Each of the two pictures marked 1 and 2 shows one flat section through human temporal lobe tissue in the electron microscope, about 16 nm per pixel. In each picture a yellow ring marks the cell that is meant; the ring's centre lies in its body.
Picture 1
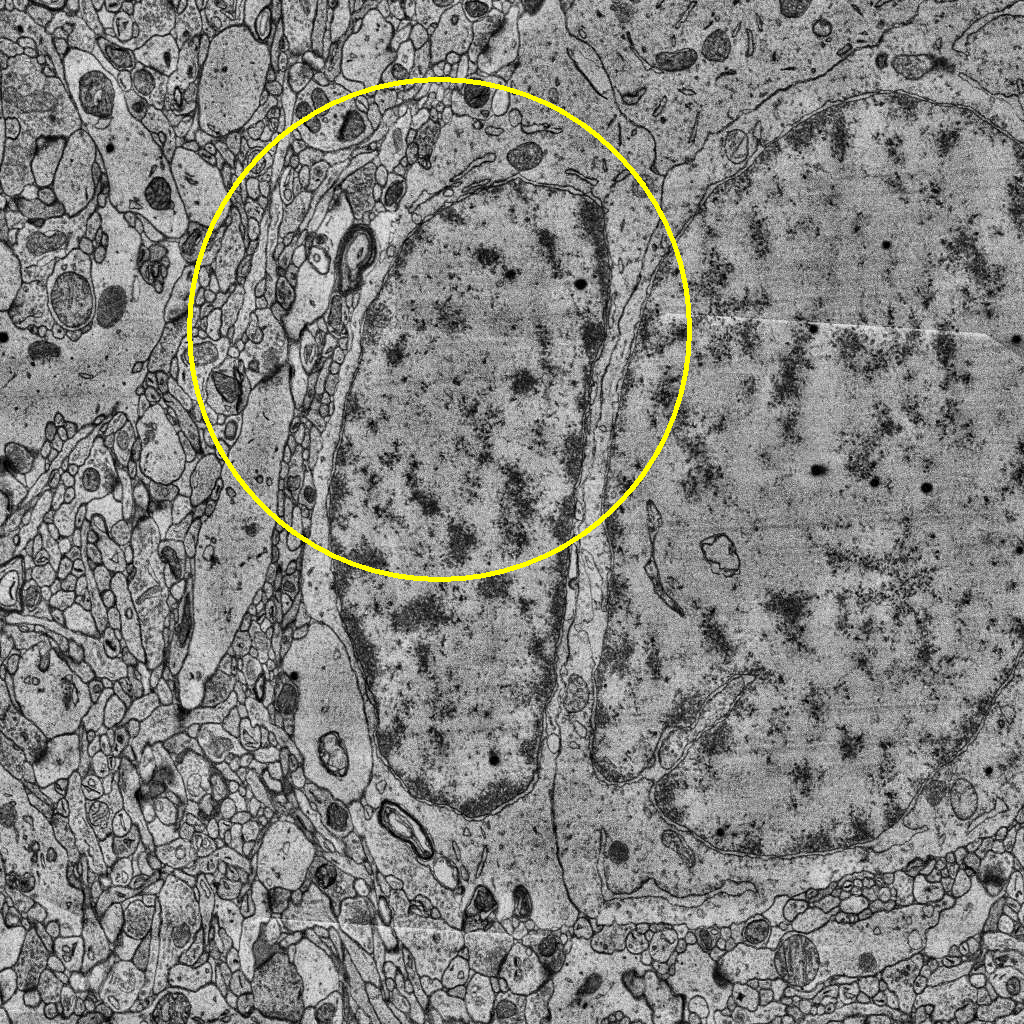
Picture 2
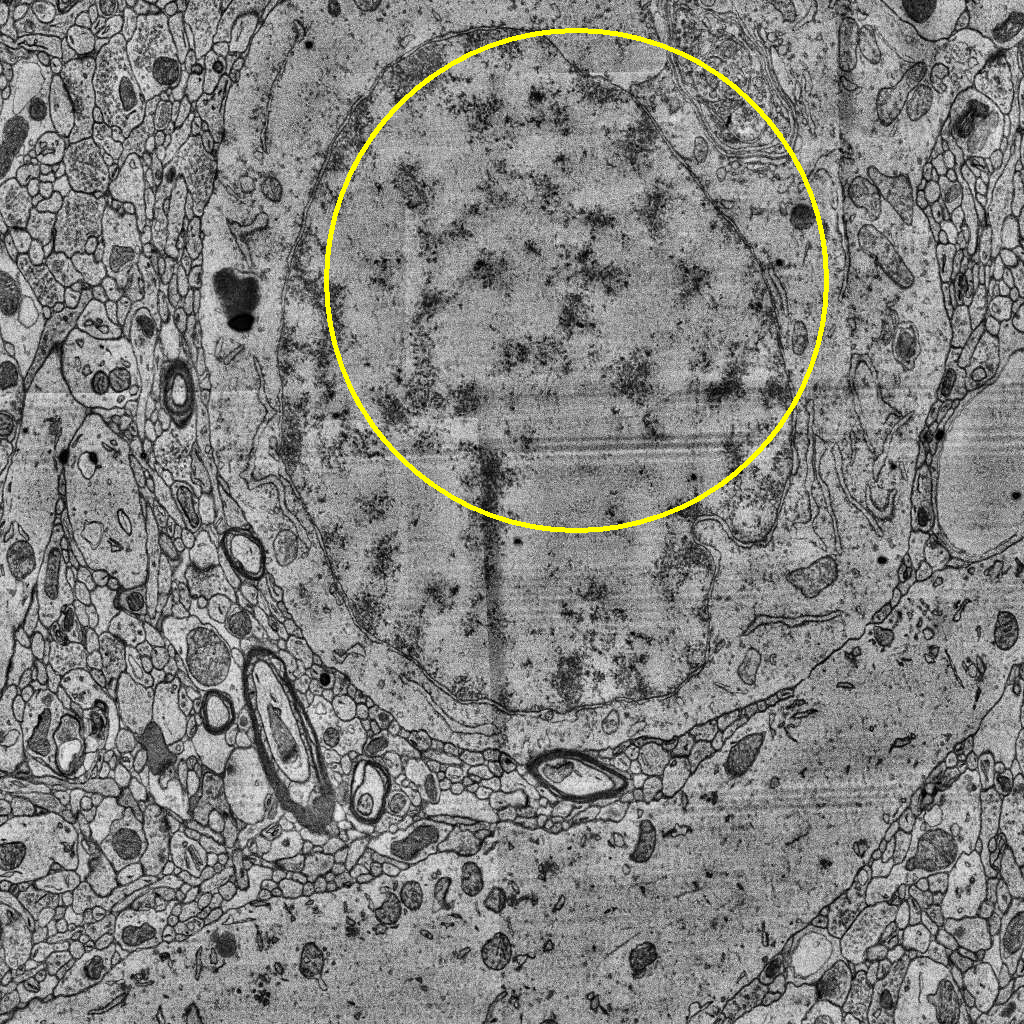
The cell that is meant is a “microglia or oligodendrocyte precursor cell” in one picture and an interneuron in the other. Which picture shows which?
Picture 1 shows a “microglia or oligodendrocyte precursor cell” and picture 2 shows an interneuron.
